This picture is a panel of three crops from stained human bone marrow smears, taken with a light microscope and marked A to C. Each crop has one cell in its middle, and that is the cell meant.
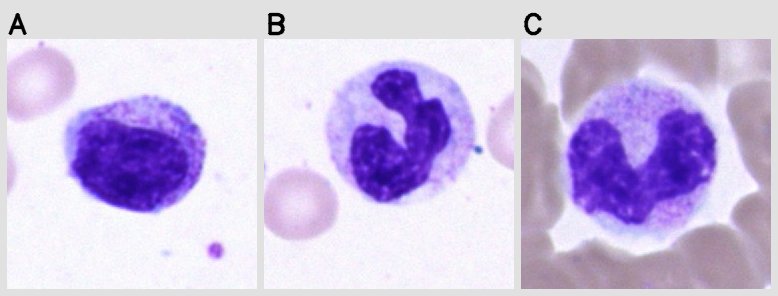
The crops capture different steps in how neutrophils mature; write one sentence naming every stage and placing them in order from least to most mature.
Taken from least to most mature, the sequence is crop A (a myelocyte), crop C (a band neutrophil) and crop B (a segmented neutrophil).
